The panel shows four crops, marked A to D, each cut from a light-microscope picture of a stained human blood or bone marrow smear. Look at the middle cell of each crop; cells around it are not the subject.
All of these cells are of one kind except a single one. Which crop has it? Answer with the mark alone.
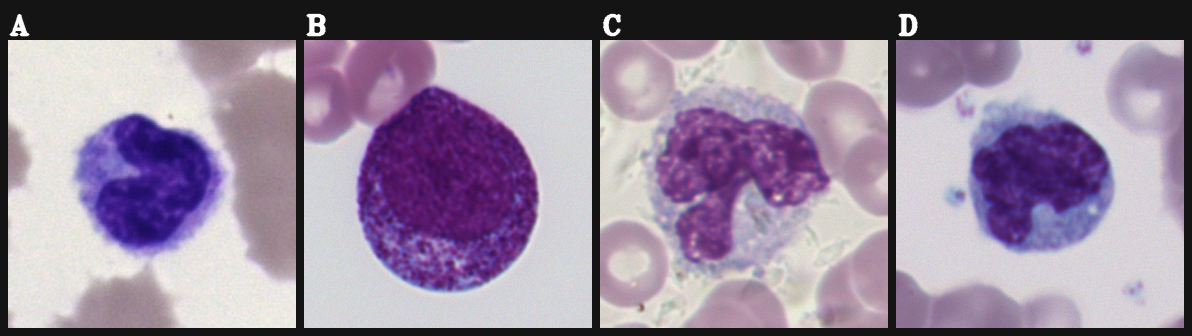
B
